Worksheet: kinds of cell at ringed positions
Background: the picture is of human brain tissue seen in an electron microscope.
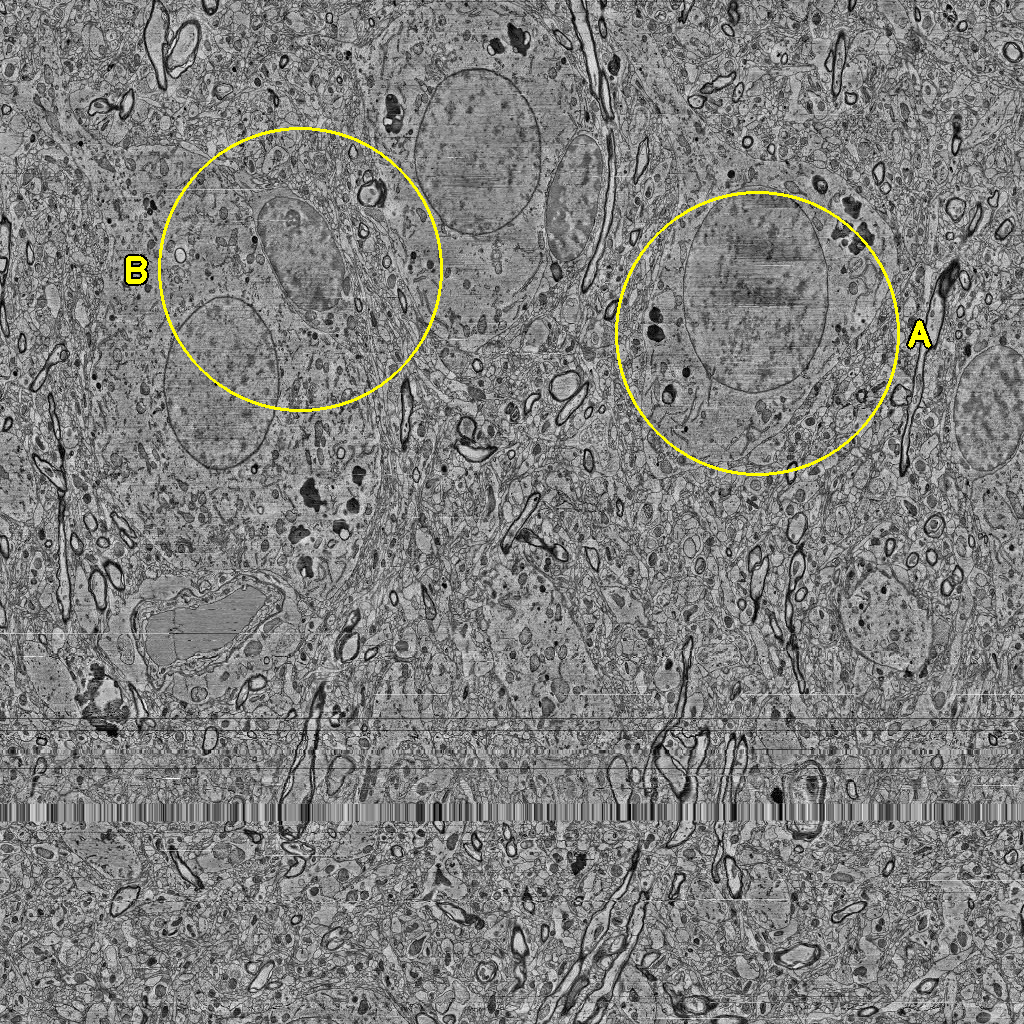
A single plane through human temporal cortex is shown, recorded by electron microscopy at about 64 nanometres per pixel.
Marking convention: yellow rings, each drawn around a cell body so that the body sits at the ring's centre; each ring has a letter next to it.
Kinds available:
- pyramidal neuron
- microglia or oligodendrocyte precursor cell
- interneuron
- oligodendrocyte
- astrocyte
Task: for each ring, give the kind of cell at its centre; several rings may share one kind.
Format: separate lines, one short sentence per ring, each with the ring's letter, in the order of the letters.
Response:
Ring A is drawn around a pyramidal neuron.
Ring B is drawn around an oligodendrocyte.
